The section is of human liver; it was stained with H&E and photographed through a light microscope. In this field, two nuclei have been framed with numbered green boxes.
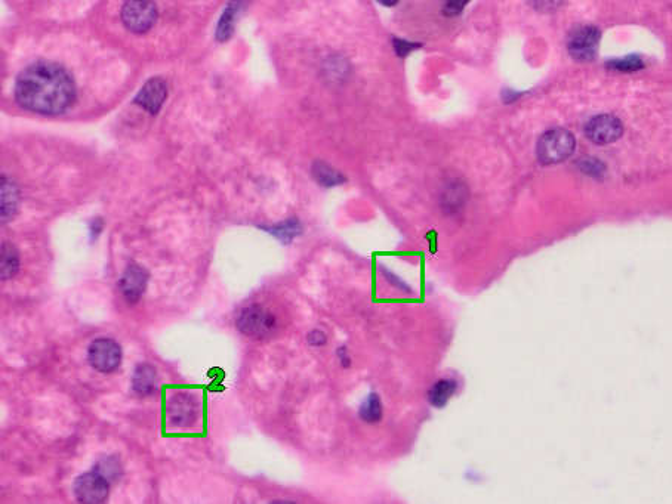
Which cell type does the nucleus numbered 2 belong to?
hepatocyte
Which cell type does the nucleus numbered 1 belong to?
endothelial cell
